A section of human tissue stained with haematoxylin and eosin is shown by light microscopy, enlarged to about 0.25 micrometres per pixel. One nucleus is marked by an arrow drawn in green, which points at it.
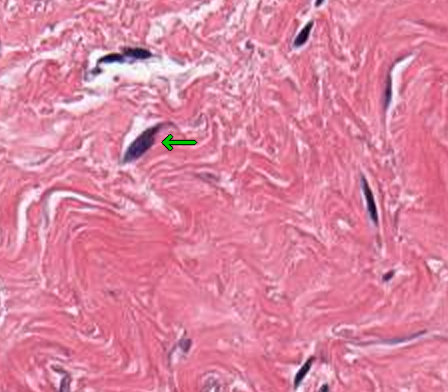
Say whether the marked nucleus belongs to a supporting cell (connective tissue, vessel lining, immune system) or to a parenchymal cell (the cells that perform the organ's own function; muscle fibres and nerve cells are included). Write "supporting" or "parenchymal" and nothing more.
supporting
